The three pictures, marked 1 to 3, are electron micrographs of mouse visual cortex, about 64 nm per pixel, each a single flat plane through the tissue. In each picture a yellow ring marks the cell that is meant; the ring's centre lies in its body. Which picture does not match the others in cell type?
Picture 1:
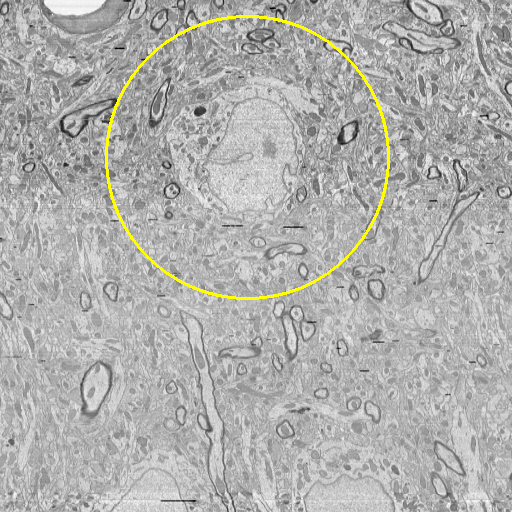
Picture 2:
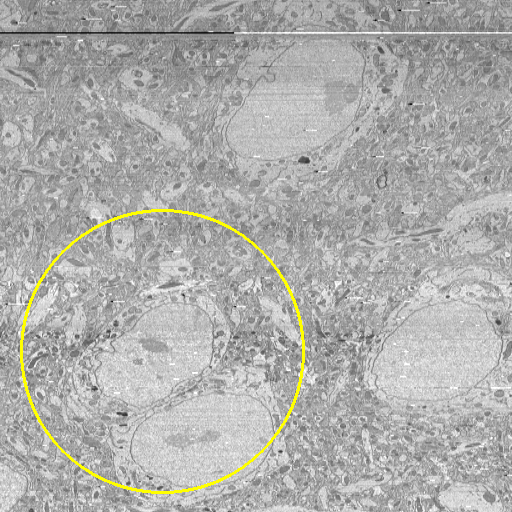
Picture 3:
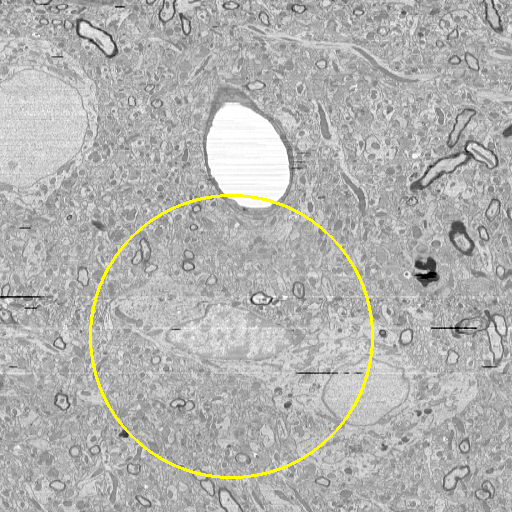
All pictures except 3 show inhibitory neurons; picture 3 shows an oligodendrocyte.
